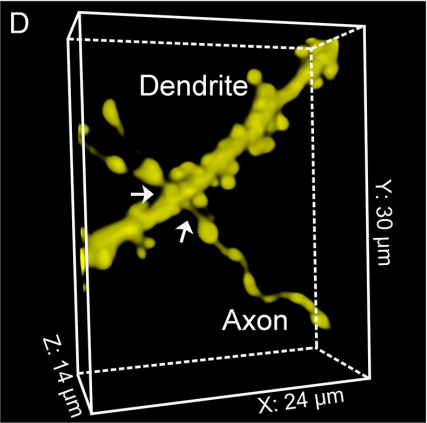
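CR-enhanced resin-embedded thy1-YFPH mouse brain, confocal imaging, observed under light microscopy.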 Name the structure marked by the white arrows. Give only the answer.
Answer: Junction point structures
